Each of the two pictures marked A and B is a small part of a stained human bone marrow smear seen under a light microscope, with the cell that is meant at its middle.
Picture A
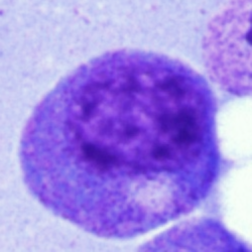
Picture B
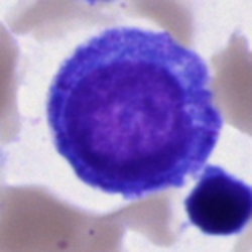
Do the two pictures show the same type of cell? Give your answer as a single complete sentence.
Yes; the cells in both pictures are promyelocytes.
